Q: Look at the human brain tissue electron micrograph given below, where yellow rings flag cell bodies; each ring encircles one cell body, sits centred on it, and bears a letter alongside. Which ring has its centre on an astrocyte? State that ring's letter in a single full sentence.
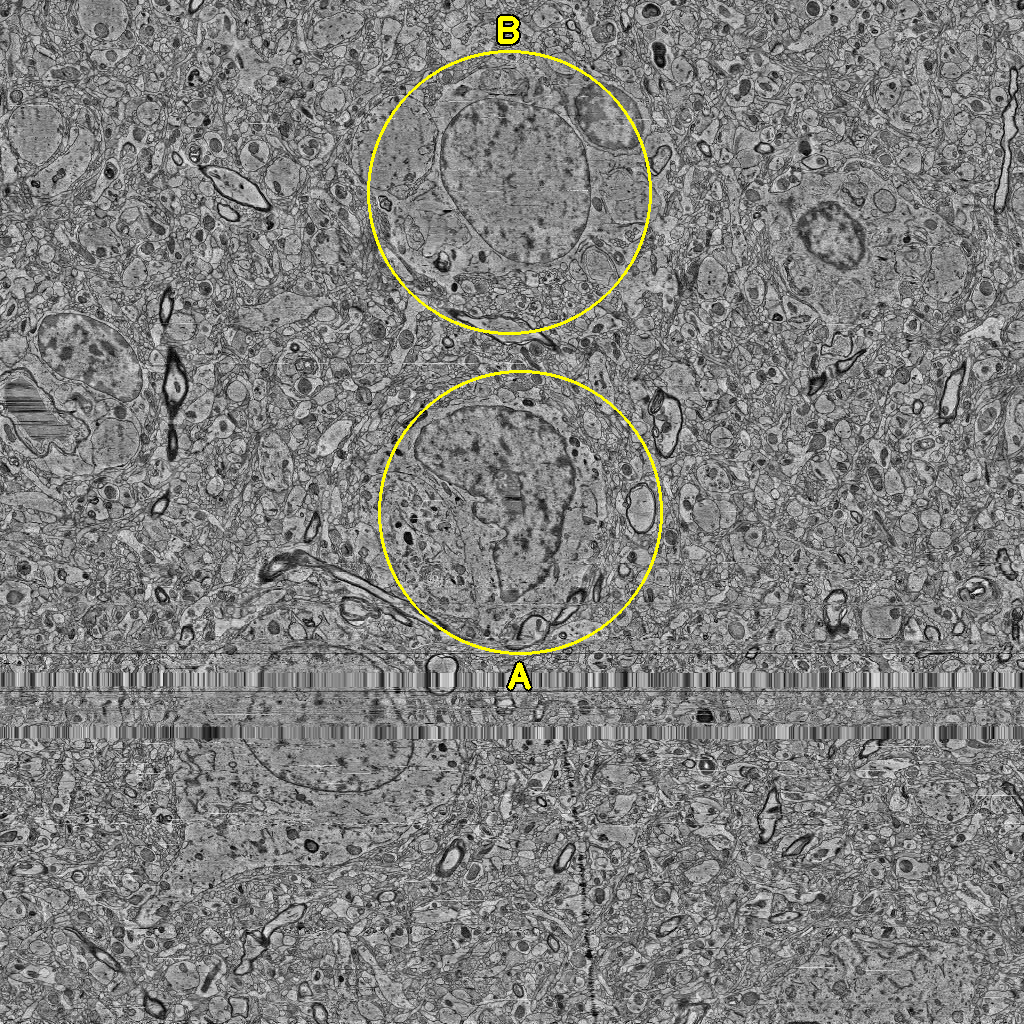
In the picture, the cell of that kind sits at the centre of ring B.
